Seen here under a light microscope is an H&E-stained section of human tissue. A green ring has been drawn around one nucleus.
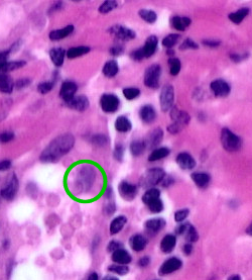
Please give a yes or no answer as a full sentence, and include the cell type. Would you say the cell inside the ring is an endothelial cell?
Yes, the naming of the cell inside the ring as an endothelial cell is correct.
